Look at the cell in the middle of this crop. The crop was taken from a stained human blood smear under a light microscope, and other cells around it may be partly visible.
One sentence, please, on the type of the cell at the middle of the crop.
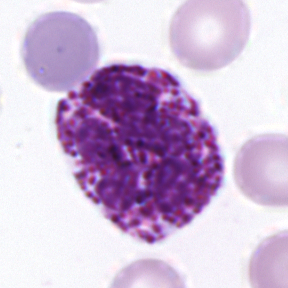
The cell in the middle of this crop is a basophil.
